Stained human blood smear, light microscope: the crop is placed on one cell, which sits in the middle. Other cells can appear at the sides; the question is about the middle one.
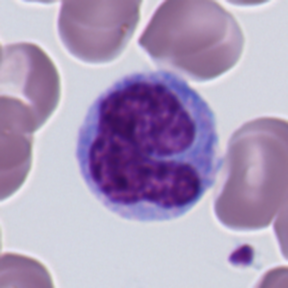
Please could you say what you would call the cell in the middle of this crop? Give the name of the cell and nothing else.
monocyte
